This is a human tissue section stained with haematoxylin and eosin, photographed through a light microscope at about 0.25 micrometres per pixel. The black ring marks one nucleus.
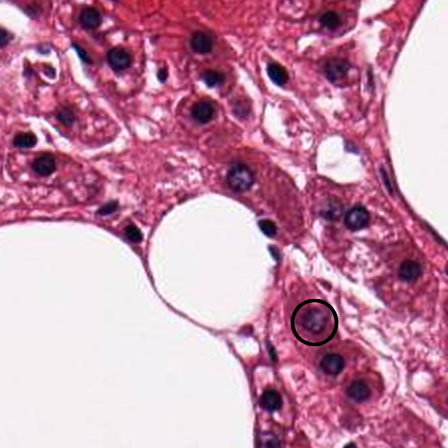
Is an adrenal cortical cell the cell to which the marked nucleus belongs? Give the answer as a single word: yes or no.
yes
